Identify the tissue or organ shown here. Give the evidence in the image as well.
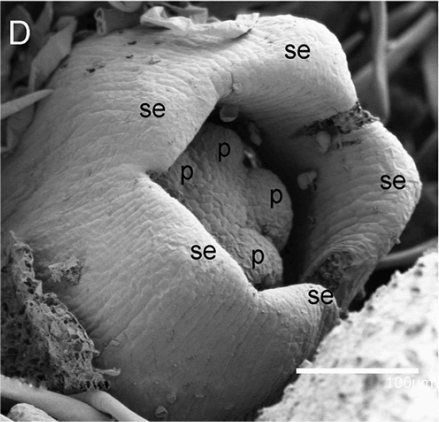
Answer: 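Flower. A bud with broad outer lobes curving over a central group of small rounded primordia. The inner primordia lie in a whorl inside the outer lobes.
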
